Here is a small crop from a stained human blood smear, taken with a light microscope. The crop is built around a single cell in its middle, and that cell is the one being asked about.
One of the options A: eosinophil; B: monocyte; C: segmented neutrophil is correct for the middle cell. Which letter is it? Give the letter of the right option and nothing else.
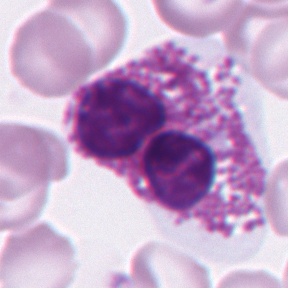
A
